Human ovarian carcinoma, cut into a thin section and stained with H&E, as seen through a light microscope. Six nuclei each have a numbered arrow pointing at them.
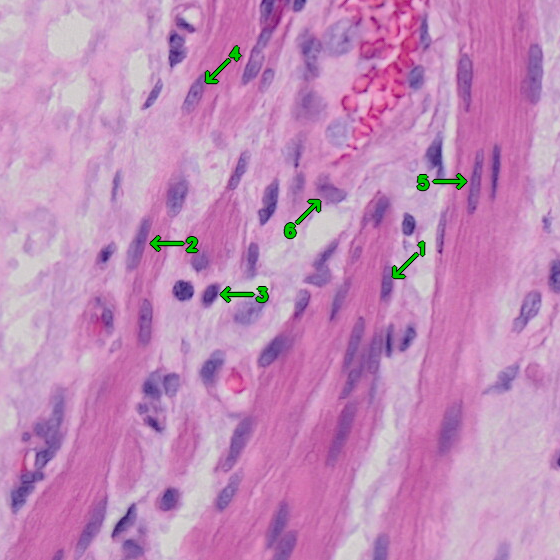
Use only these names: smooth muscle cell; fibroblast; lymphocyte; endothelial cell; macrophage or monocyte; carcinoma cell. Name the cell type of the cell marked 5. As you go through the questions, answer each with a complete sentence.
The cell numbered 5 represents a smooth muscle cell.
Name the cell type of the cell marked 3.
Cell 3 in the field of view is a lymphocyte.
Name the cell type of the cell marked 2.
Cell 2, as marked in the section, is a smooth muscle cell.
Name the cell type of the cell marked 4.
Nucleus 4 in this section belongs to a smooth muscle cell.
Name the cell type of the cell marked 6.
Here the cell numbered 6 is an endothelial cell.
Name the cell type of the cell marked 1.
In the marked set, the cell given number 1 is a smooth muscle cell.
